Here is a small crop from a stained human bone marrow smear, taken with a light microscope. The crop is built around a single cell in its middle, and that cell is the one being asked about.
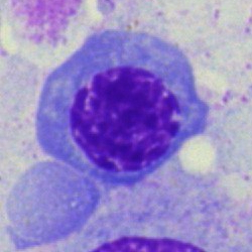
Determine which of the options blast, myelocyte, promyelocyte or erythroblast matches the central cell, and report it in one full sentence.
Of the cells in this crop, the central one is an erythroblast.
